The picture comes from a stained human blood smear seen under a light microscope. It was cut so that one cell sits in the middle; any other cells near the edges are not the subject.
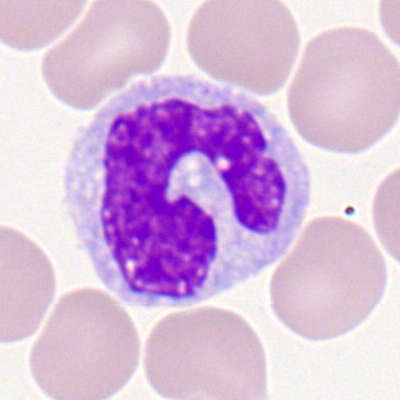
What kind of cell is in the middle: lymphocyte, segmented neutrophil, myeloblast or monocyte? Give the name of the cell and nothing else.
monocyte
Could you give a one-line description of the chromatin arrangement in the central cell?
What stands out is chromatin that is coarsely clumped.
